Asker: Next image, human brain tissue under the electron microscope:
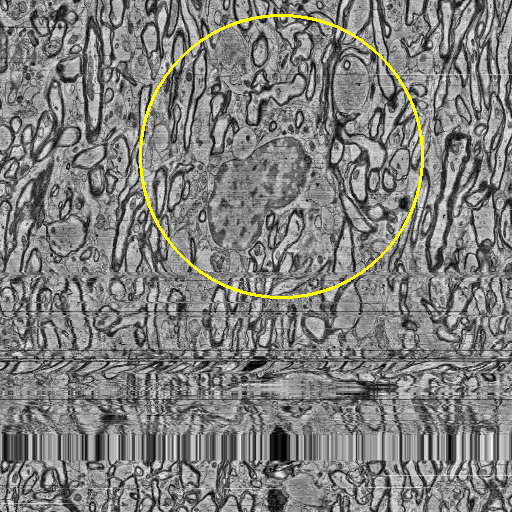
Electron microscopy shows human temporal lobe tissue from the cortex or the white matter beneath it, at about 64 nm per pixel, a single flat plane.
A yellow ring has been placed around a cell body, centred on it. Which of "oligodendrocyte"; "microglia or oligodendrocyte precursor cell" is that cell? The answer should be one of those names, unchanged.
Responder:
microglia or oligodendrocyte precursor cell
